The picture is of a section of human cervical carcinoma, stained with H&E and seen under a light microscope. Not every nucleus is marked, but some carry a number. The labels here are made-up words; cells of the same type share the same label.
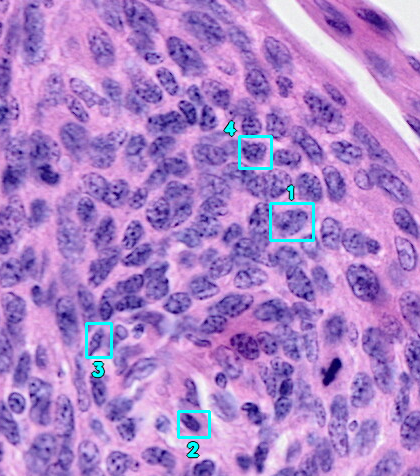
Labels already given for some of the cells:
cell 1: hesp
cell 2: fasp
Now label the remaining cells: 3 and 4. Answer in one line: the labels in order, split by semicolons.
hesp; hesp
